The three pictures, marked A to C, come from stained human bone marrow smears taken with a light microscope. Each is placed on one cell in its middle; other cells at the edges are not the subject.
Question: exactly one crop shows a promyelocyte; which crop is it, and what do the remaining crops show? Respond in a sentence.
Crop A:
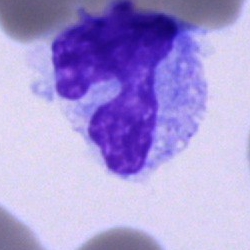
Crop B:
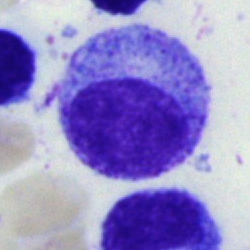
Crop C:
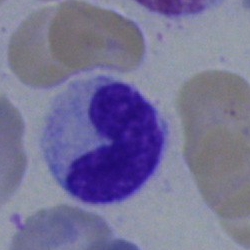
The labels are: crop B is a promyelocyte, and crop A is a monocyte and crop C is a band neutrophil.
